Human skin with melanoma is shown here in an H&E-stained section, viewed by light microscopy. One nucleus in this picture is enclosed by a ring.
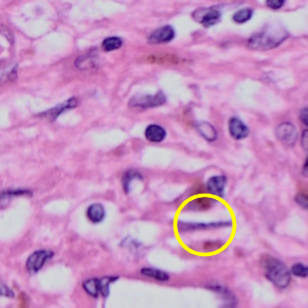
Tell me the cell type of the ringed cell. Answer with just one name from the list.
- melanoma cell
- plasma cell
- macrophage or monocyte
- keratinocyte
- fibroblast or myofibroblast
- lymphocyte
fibroblast or myofibroblast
